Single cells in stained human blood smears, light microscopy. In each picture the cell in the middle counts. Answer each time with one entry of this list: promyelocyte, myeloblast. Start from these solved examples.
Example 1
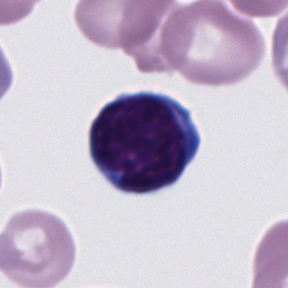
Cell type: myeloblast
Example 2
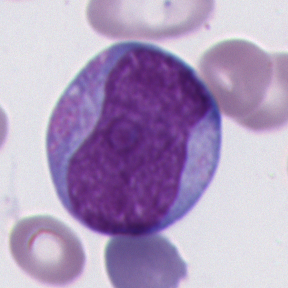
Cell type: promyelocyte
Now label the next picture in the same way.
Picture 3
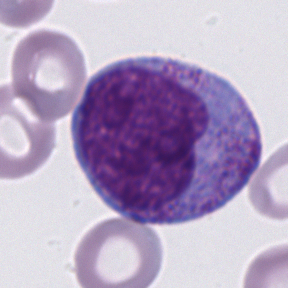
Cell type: promyelocyte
